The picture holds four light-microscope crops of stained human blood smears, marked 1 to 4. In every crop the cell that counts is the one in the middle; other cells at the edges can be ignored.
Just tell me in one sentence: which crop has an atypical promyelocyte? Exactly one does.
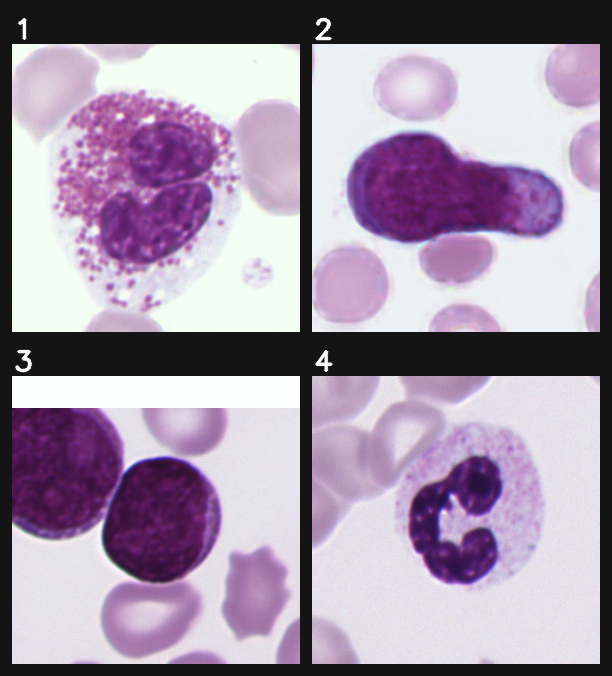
Crop 2 represents an atypical promyelocyte, while the other crops do not.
